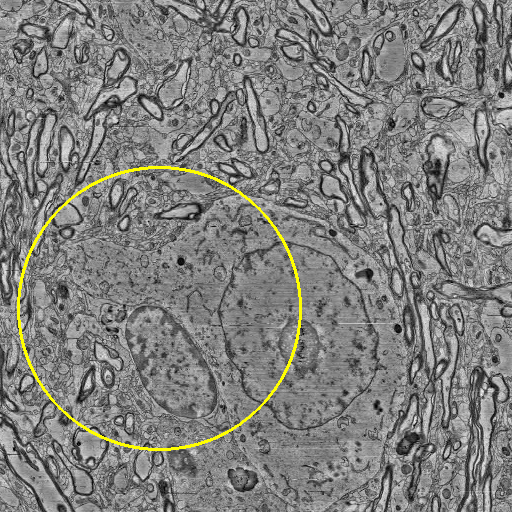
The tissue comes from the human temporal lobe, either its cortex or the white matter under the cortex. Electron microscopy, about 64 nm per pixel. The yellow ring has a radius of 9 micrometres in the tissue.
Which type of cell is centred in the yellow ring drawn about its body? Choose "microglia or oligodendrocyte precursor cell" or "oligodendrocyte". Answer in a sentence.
The yellow ring surrounds the cell body of a microglial cell or oligodendrocyte precursor cell.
